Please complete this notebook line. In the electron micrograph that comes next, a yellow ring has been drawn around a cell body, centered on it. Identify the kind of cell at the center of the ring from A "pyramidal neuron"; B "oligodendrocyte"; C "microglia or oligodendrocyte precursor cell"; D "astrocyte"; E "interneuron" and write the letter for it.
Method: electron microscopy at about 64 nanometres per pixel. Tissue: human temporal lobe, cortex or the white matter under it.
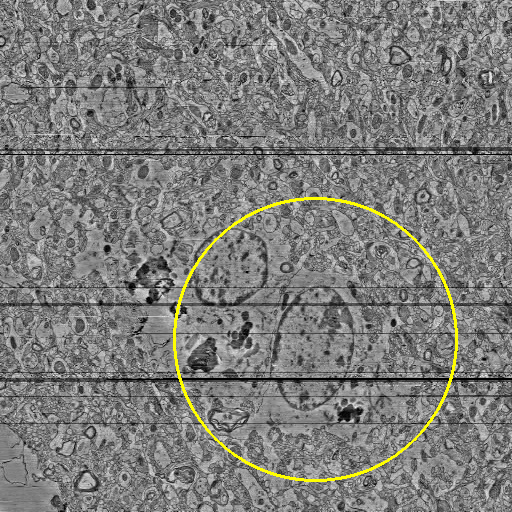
D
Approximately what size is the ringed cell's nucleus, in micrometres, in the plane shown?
The nucleus measures about 8 by 5 micrometres, so it is clearly longer than it is wide in this plane.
